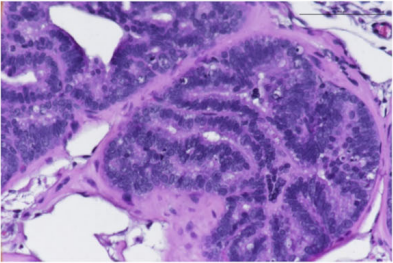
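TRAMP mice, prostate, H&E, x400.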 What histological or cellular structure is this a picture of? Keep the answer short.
Cribriform structure of epithelium.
